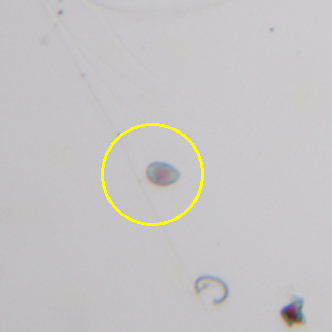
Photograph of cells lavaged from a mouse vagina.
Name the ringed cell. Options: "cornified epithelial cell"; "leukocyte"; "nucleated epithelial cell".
nucleated epithelial cell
